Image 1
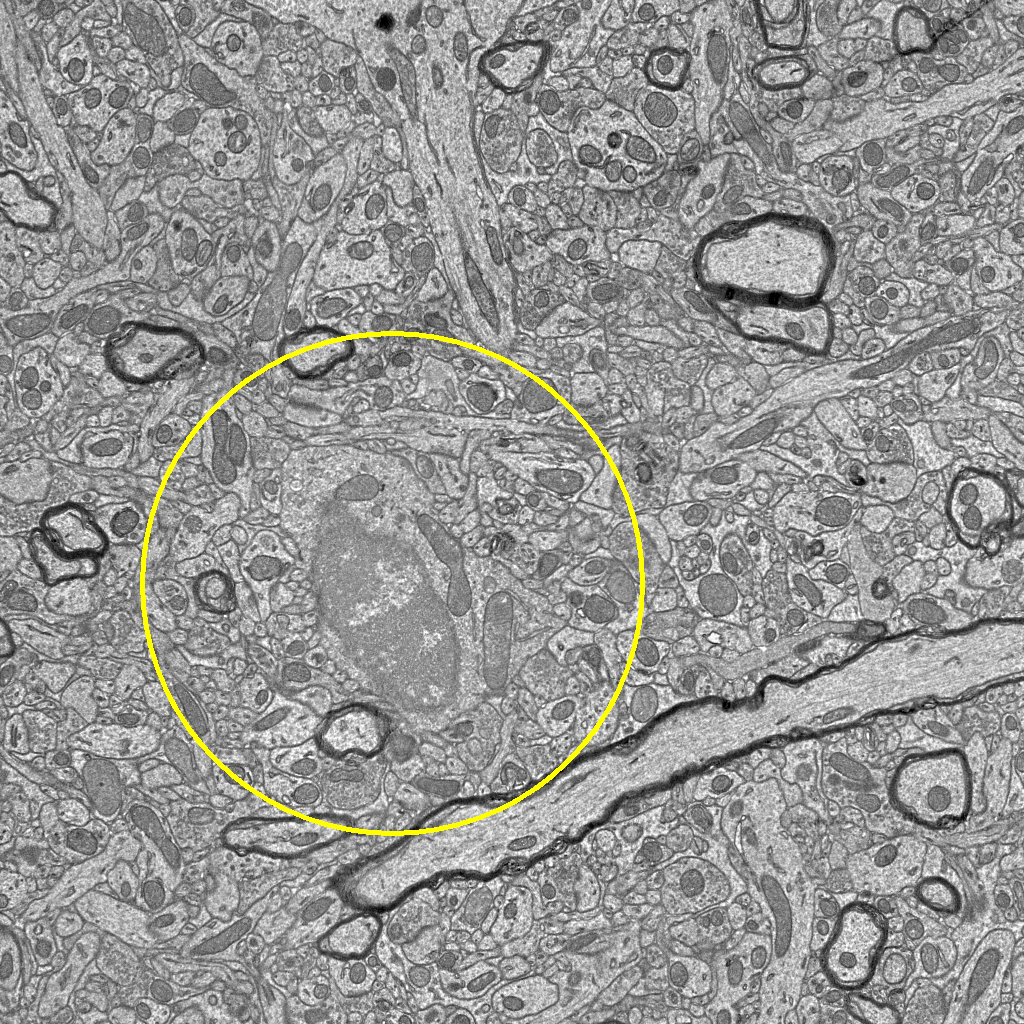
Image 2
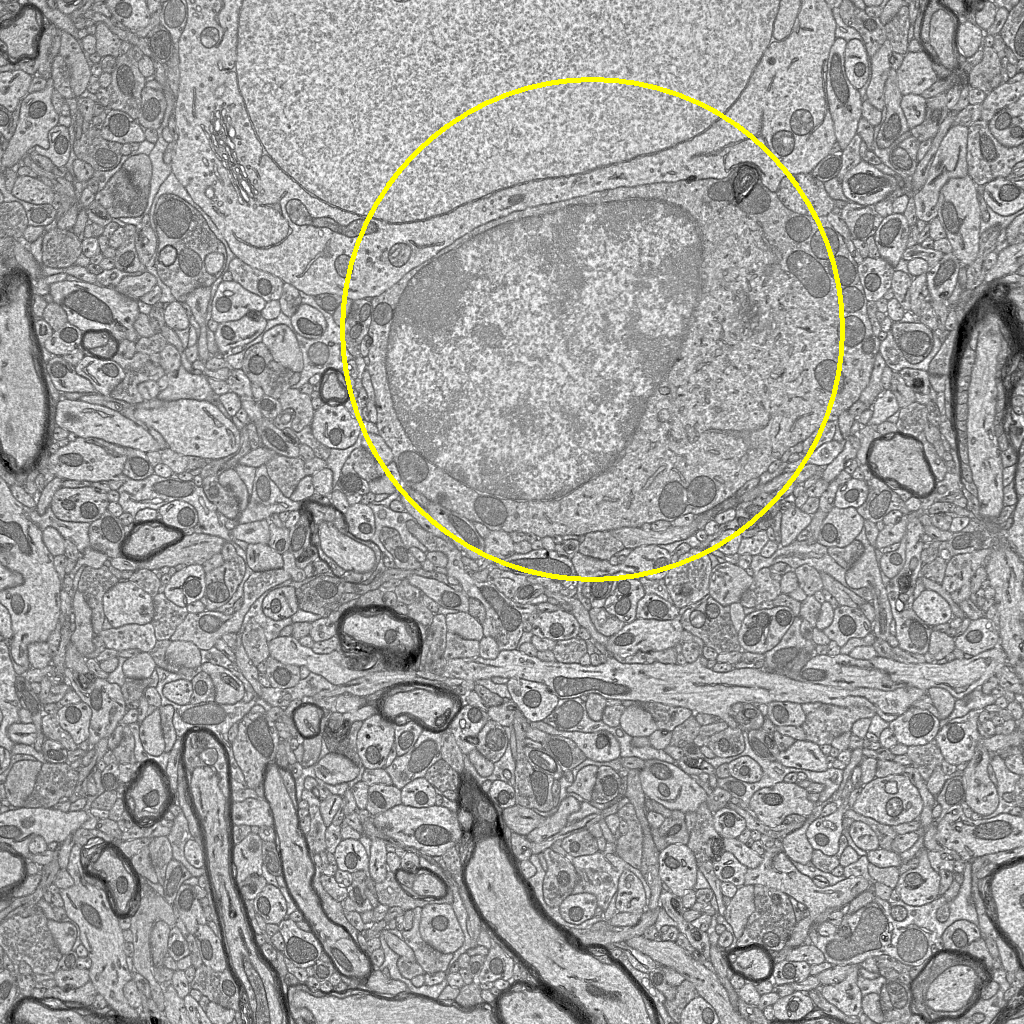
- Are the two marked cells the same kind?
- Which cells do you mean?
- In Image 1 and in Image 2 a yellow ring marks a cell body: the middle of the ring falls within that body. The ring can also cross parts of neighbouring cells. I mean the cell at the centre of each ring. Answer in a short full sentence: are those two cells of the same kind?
Yes, both cells are of the same kind.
